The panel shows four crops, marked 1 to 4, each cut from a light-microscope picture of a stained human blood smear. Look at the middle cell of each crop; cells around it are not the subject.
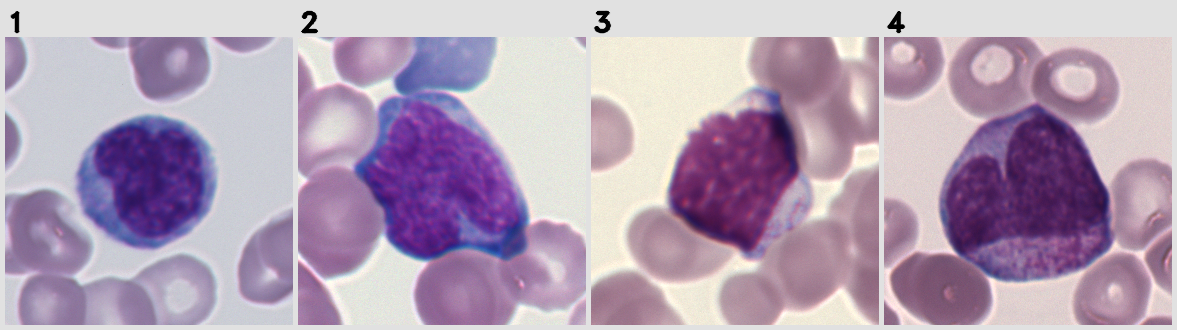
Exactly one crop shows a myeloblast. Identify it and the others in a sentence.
What crop 2 shows is a myeloblast, while crop 1 is a monocyte, crop 3 is a large granular lymphocyte and crop 4 is an atypical promyelocyte.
